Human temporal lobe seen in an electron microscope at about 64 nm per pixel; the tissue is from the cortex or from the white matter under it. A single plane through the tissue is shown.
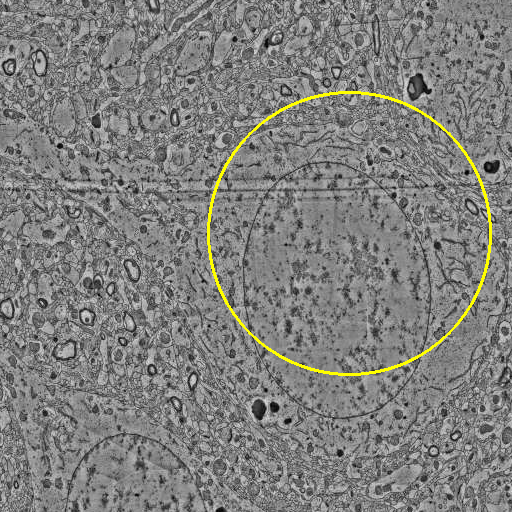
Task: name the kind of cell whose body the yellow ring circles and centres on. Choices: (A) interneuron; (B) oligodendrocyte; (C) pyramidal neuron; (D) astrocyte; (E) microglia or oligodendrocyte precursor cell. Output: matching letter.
C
